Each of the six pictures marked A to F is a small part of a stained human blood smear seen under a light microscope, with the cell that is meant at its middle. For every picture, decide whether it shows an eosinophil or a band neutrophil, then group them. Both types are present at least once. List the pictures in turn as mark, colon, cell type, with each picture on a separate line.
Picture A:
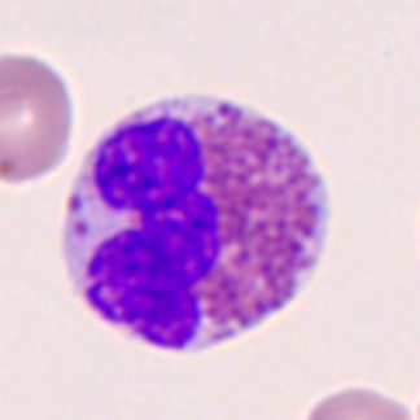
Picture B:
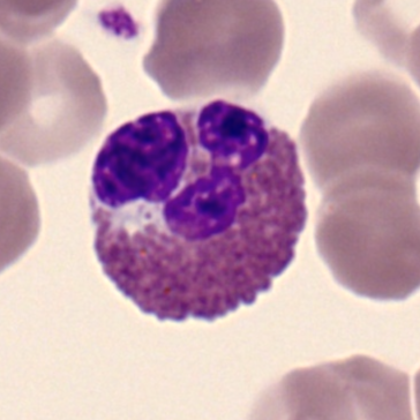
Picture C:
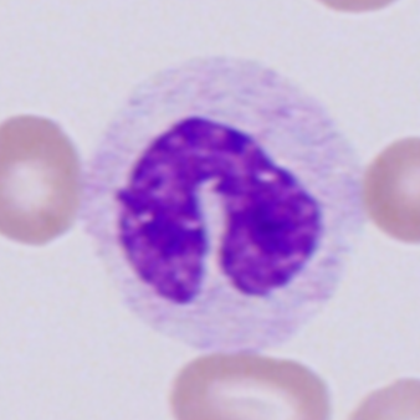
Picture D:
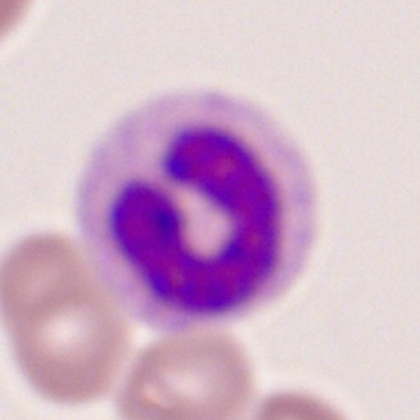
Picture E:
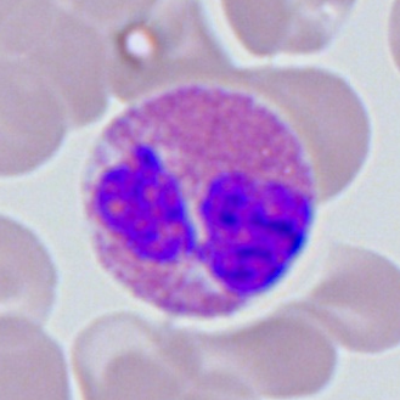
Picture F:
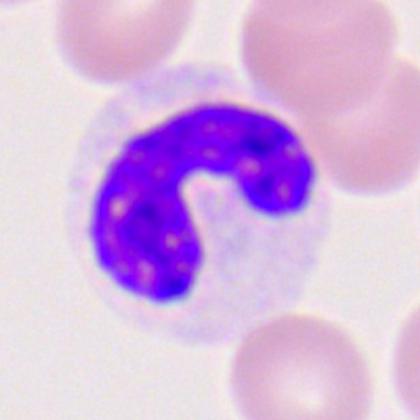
A: eosinophil
B: eosinophil
C: band neutrophil
D: band neutrophil
E: eosinophil
F: band neutrophil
